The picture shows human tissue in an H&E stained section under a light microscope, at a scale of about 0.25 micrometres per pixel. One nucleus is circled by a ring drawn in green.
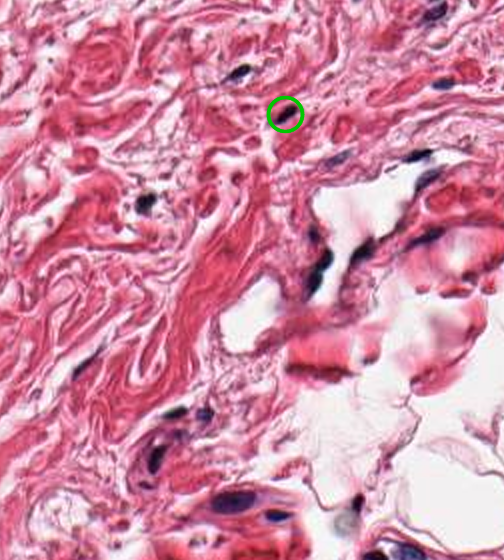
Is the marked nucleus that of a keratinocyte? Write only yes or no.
no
